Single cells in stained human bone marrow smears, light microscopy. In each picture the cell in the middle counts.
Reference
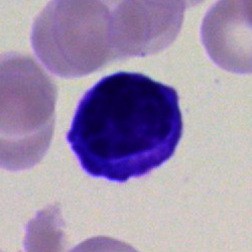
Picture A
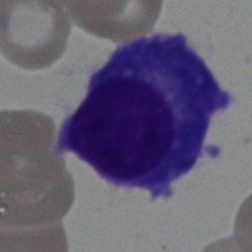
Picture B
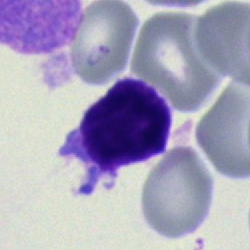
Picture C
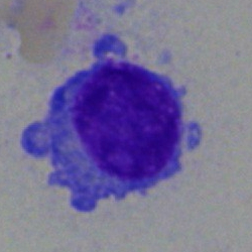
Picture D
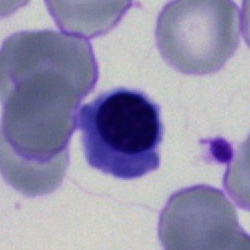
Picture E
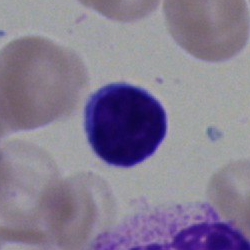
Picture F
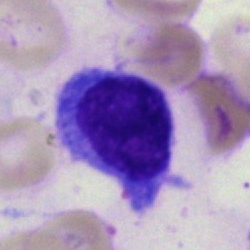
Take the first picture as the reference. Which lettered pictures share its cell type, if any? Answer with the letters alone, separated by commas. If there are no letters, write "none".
B, E, F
